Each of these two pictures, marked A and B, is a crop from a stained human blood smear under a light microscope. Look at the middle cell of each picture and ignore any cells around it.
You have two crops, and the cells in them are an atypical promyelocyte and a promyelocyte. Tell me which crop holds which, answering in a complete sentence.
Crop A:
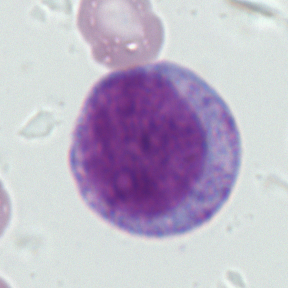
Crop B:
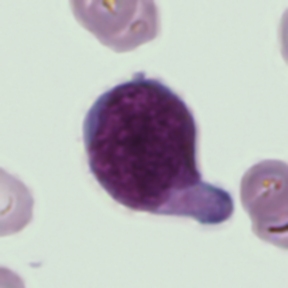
Represented in crop A is a promyelocyte; represented in crop B is an atypical promyelocyte.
